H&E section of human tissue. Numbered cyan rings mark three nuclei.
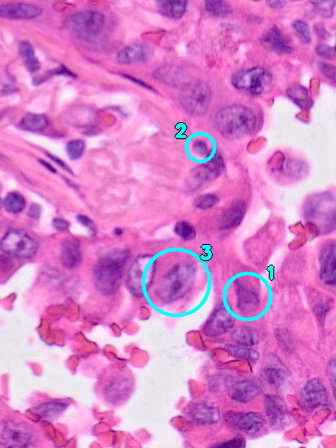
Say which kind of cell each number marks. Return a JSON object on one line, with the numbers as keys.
{"1": "carcinoma cell", "2": "lymphocyte", "3": "carcinoma cell"}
